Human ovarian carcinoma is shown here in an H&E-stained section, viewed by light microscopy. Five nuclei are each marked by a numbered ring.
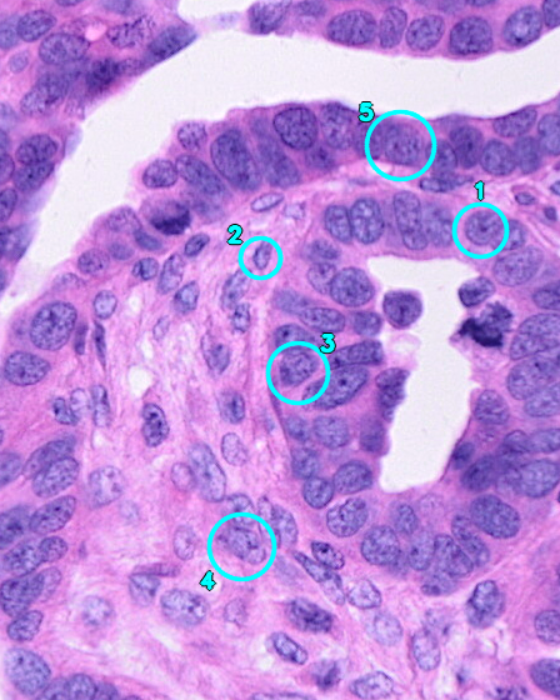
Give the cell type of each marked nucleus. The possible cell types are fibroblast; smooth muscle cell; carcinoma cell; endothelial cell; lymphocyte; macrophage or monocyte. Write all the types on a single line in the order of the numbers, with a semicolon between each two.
carcinoma cell; fibroblast; carcinoma cell; fibroblast; carcinoma cell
